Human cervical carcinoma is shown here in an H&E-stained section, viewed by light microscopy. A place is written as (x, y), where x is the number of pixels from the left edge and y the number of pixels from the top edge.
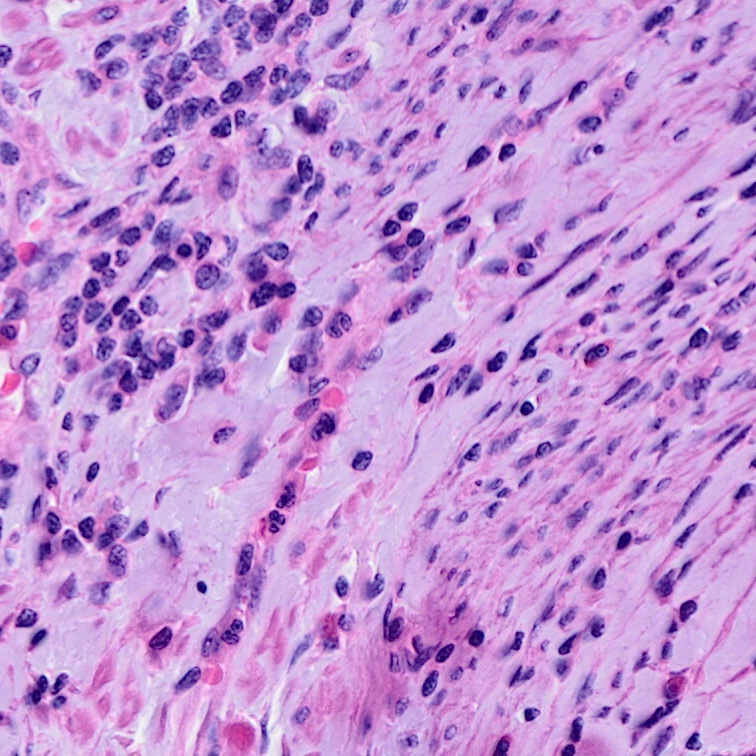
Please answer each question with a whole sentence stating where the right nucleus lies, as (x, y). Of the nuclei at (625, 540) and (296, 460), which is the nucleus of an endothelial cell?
Of the two nuclei present, the one at (296, 460) is within an endothelial cell.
